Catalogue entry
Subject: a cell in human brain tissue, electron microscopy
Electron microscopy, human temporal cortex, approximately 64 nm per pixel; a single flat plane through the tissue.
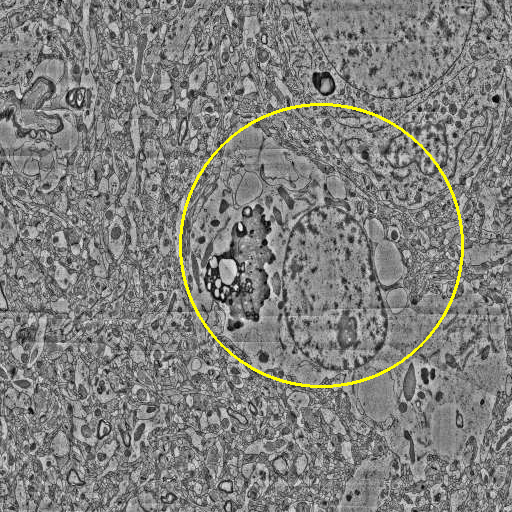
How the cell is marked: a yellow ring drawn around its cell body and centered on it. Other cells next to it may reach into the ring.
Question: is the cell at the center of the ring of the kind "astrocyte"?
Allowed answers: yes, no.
yes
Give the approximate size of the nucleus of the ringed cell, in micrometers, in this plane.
The nucleus is approximately 11 micrometres long but only about 6 wide, clearly longer than it is wide in this plane.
